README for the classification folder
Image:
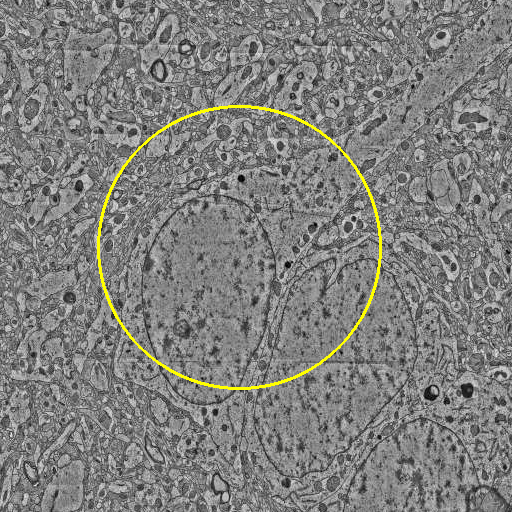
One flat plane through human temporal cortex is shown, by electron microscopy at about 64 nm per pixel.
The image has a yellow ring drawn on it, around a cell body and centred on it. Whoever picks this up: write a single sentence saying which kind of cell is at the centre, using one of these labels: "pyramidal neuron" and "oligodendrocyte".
This cell body is that of a pyramidal neuron.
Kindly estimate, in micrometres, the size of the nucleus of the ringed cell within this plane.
About 13 by 9 micrometres in this plane; clearly longer than it is wide.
